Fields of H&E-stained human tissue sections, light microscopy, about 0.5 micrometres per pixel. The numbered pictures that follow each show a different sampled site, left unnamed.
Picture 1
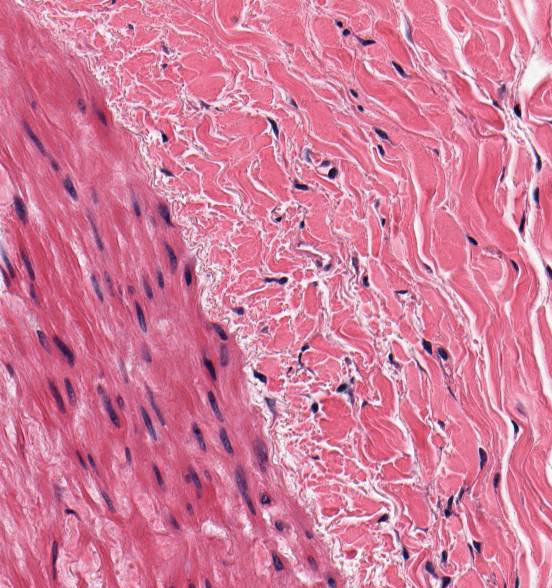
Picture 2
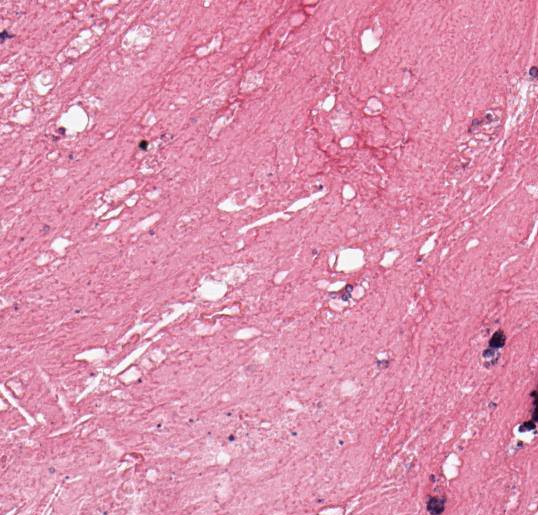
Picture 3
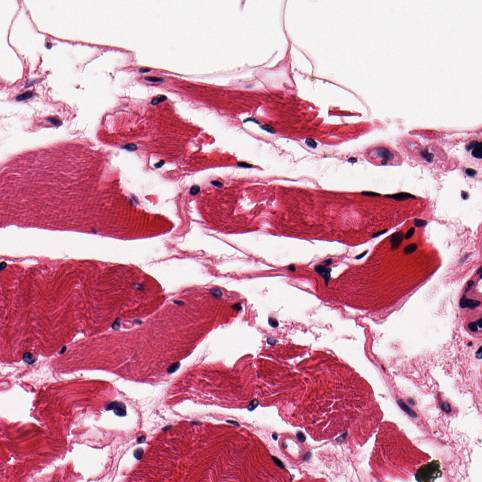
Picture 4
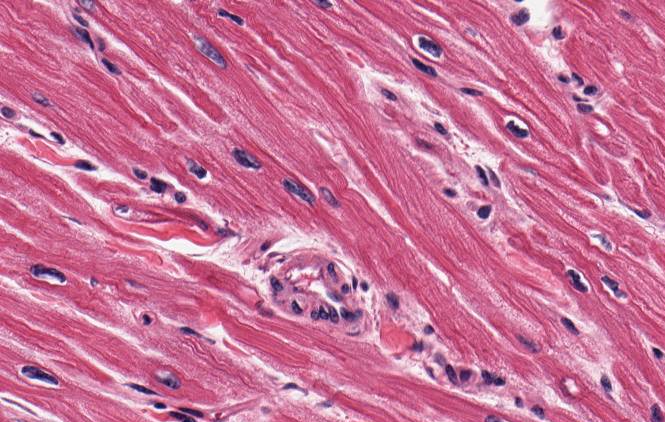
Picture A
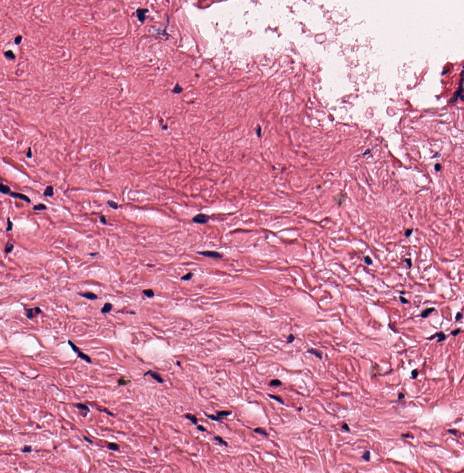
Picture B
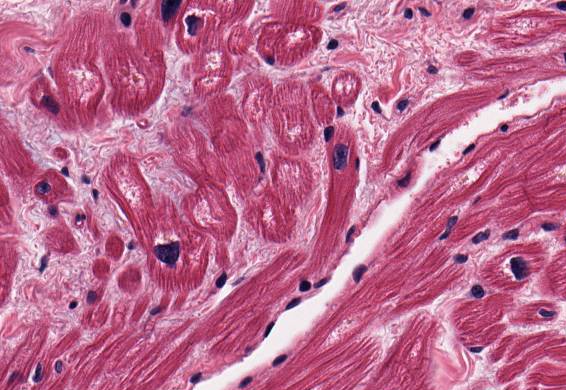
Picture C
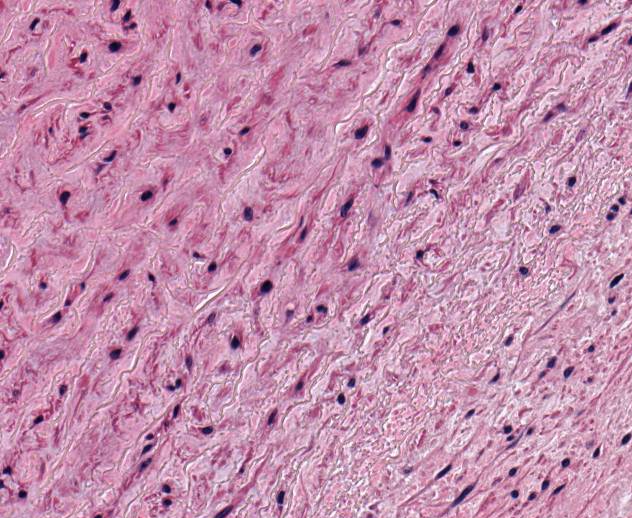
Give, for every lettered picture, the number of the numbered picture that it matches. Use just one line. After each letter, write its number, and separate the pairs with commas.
A 1, B 4, C 2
